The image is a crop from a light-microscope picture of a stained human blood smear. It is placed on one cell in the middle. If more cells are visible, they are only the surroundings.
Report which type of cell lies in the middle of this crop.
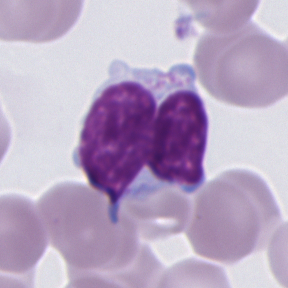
large granular lymphocyte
